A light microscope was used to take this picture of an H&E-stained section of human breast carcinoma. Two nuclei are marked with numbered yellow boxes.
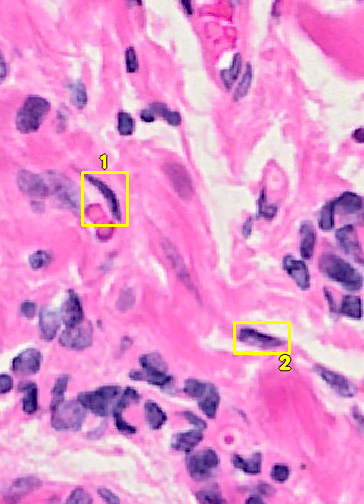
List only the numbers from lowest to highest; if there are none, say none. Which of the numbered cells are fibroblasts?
2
